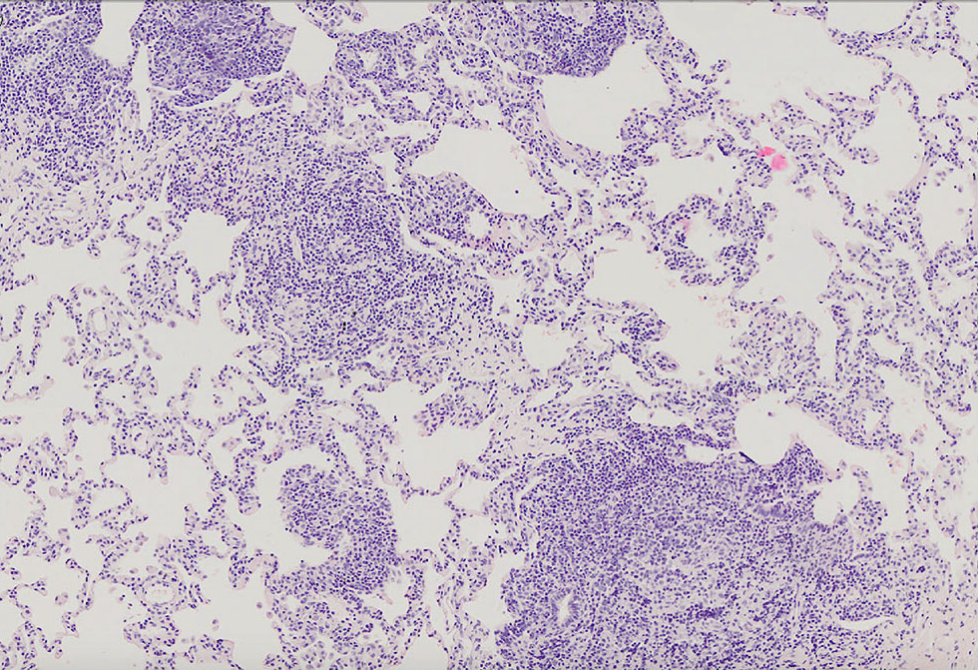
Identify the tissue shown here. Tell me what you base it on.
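Many thin-walled, open air spaces separated by delicate septa. Lacy, sponge-like architecture across much of the field. On this evidence: Lung parenchyma.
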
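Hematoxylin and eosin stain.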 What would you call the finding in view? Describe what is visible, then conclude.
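Dense sheets of small, round, dark-blue nuclei form large patches that replace the air spaces. Alveolar septa outside the patches look thickened and more cellular. Small airway-like lumens lie within or beside the dense cellular patches. On this evidence: diffuse interstitial and peribronchiolar lymphocytic infiltration.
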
